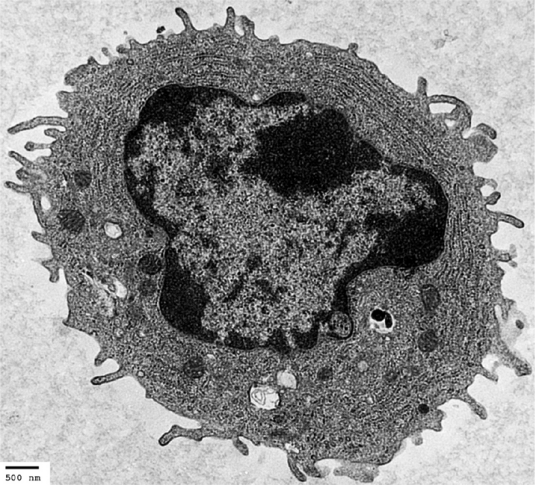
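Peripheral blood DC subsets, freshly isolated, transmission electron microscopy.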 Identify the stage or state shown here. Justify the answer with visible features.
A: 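The cytoplasm is filled with concentric parallel membrane stacks around the nucleus. The nucleus has dense peripheral chromatin clumps.
Conclusion: plasmacytoid phenotype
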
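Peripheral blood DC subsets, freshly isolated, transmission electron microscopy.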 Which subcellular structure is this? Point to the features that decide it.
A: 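Dendritic protrusions on the plasma membrane. Many short finger-like projections extend from the cell surface all around the cell.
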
